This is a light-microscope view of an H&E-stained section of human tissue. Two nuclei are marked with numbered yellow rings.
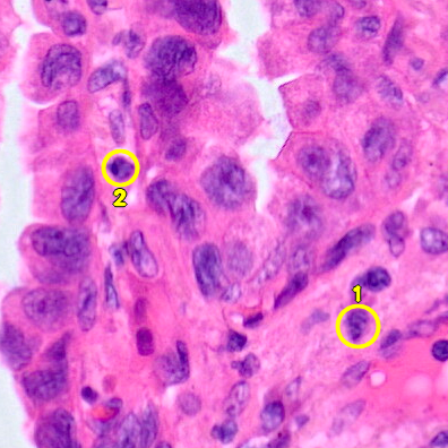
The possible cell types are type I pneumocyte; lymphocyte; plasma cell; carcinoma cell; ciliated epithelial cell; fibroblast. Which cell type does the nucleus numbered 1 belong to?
plasma cell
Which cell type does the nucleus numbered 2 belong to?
lymphocyte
